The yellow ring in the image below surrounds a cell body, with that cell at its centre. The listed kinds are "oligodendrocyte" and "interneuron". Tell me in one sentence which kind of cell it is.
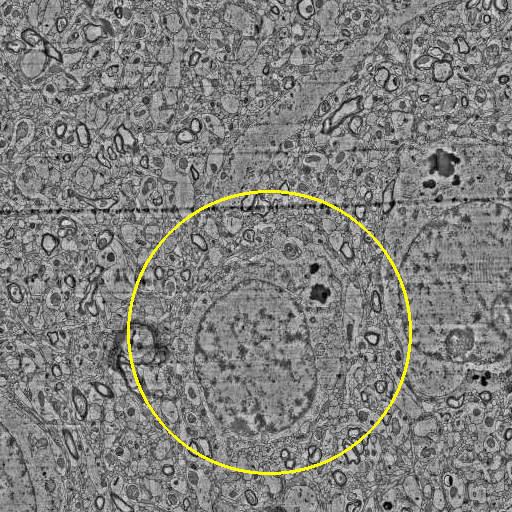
The centre of the ring holds an interneuron.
